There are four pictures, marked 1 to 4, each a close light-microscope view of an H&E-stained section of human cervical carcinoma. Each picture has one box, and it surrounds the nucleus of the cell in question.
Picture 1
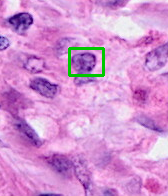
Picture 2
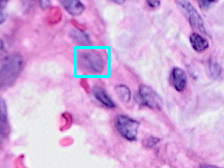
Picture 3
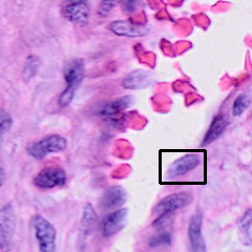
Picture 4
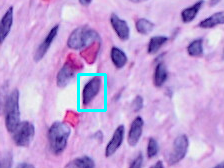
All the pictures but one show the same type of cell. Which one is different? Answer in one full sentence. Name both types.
Unlike the rest, which show endothelial cells, picture 1 shows a “macrophage or monocyte”.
